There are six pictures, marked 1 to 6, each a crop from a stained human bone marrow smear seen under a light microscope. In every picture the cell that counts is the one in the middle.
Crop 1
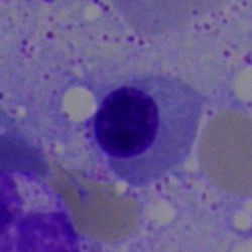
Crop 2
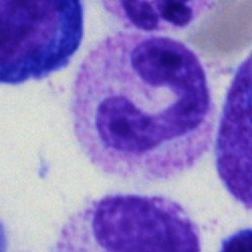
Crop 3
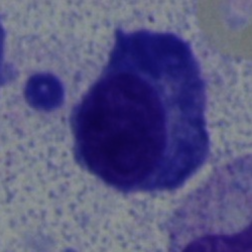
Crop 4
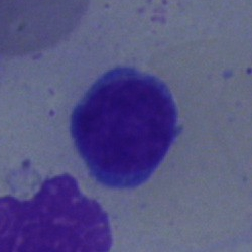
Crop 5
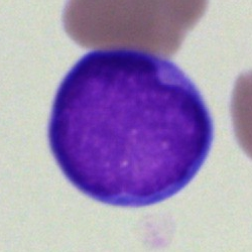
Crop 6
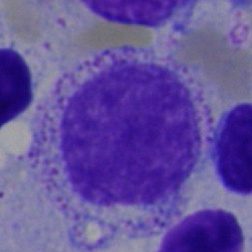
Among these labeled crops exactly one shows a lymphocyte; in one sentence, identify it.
The one that shows a lymphocyte is crop 4.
